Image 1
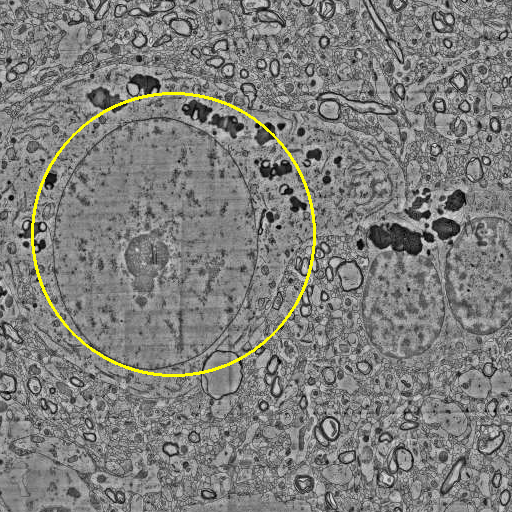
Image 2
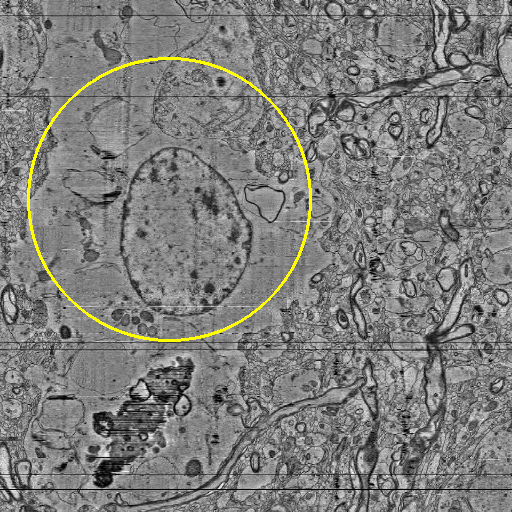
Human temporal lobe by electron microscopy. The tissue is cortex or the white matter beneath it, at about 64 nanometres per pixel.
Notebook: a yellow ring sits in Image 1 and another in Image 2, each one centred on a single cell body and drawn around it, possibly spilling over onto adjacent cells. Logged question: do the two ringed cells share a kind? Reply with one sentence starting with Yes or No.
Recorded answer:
No, the centre cells inside the rings of Image 1 and Image 2 are of two kinds.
